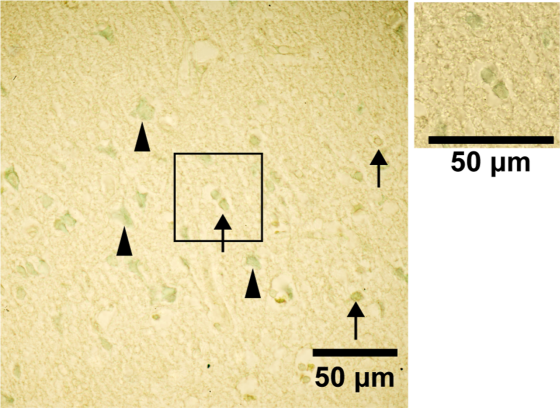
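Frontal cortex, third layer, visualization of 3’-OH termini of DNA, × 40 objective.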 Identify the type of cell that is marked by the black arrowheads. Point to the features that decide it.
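The arrowheads point to cells larger than the small round cells marked by arrows. The marked cells have a pale green, angular body.
Conclusion: neurons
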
